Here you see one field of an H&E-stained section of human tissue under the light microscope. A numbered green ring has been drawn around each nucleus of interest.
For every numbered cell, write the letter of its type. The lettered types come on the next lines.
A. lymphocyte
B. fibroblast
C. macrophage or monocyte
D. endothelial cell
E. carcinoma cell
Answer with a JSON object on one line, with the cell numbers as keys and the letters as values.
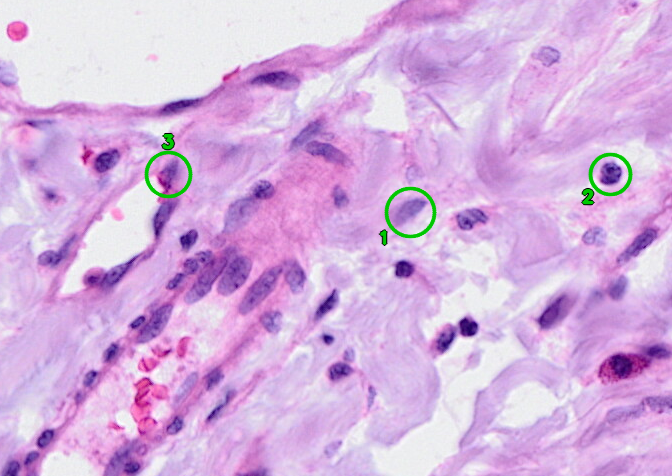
{"1": "B", "2": "A", "3": "D"}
